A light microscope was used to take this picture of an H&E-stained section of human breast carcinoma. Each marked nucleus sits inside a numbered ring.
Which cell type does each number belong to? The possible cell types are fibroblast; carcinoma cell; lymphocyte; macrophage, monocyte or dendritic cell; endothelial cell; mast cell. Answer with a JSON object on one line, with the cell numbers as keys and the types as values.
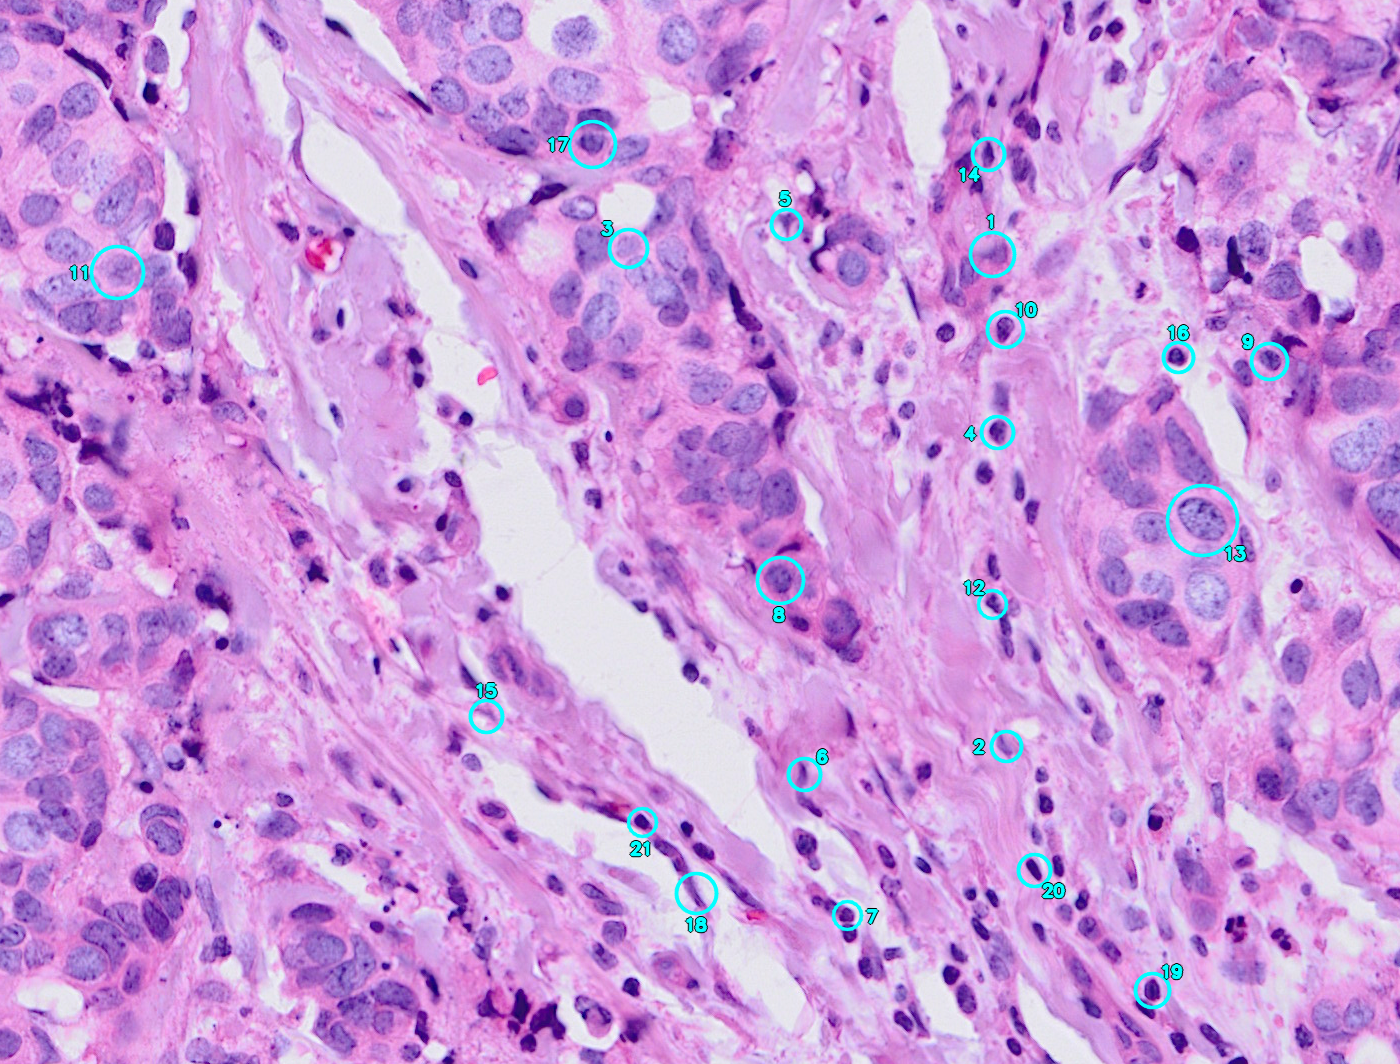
{"1": "endothelial cell", "2": "fibroblast", "3": "carcinoma cell", "4": "lymphocyte", "5": "fibroblast", "6": "fibroblast", "7": "lymphocyte", "8": "carcinoma cell", "9": "lymphocyte", "10": "lymphocyte", "11": "carcinoma cell", "12": "lymphocyte", "13": "carcinoma cell", "14": "lymphocyte", "15": "fibroblast", "16": "mast cell", "17": "carcinoma cell", "18": "fibroblast", "19": "lymphocyte", "20": "lymphocyte", "21": "lymphocyte"}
